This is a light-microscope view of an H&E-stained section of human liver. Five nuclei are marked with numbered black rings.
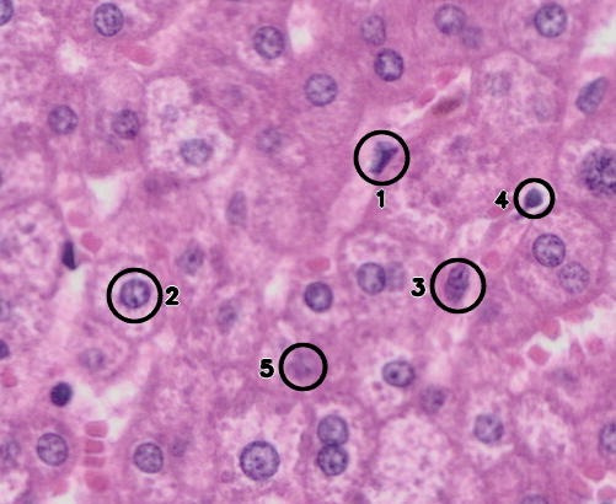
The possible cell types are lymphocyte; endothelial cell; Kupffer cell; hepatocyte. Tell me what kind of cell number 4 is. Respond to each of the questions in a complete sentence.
The numbered cell 4 is identified here as a lymphocyte.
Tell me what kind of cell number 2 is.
The cell indicated with the number 2 is classed as a hepatocyte.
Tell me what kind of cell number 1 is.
Cell 1, as marked in the section, is an endothelial cell.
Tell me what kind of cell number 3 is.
Cell 3, as marked in the section, is a Kupffer cell.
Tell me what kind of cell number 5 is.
Belonging to a hepatocyte is the nucleus that carries the number 5.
